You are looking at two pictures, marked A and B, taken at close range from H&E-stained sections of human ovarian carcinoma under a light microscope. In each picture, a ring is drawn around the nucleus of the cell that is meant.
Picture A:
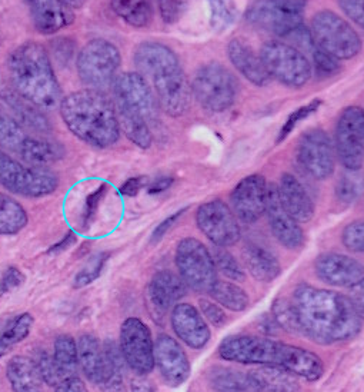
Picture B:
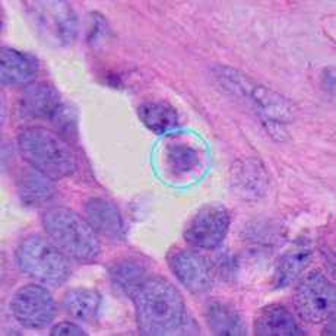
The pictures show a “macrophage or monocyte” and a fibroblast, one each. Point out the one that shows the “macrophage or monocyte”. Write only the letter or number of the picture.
B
